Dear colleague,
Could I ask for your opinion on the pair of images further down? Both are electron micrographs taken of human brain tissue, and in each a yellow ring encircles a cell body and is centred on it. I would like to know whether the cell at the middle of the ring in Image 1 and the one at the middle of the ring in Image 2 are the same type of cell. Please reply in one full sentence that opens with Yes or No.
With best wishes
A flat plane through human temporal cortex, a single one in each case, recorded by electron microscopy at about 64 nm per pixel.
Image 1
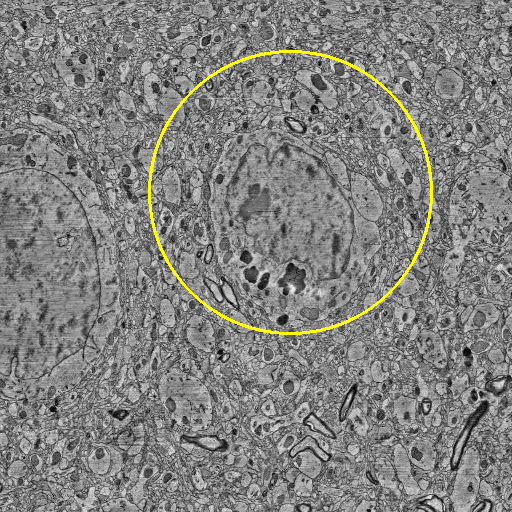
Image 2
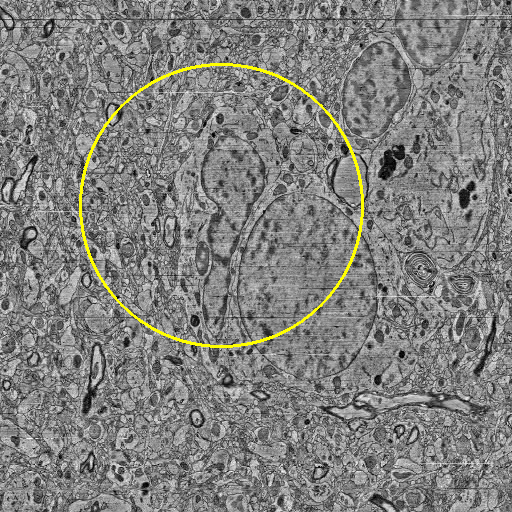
No, the cells at the ring centres in Image 1 and Image 2 are of two types.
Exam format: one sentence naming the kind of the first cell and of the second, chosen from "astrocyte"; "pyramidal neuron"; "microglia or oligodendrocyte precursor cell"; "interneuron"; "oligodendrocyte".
The first picture's cell is an interneuron, and the second picture's cell is a microglial cell or oligodendrocyte precursor cell.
